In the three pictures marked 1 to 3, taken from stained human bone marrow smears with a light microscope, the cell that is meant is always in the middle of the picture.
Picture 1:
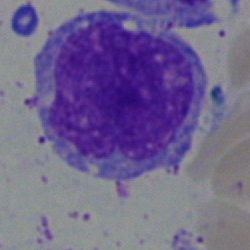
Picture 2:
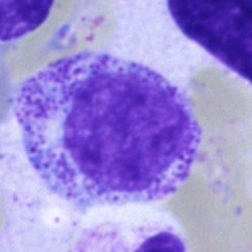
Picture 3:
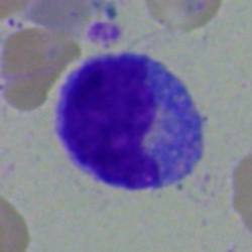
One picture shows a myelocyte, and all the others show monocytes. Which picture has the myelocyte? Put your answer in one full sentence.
The picture with the myelocyte is 2.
